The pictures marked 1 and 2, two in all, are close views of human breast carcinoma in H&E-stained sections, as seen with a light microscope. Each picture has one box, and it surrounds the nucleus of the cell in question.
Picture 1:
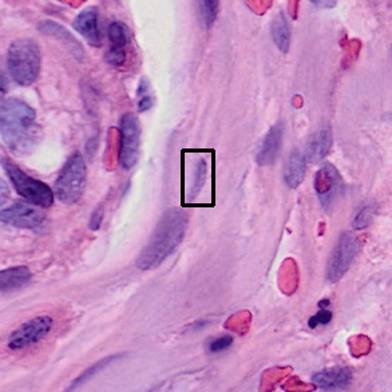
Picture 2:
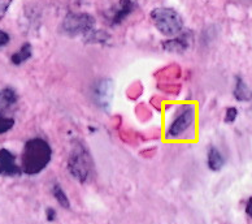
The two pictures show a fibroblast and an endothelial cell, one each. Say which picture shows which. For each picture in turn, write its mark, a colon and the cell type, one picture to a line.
1: fibroblast
2: endothelial cell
